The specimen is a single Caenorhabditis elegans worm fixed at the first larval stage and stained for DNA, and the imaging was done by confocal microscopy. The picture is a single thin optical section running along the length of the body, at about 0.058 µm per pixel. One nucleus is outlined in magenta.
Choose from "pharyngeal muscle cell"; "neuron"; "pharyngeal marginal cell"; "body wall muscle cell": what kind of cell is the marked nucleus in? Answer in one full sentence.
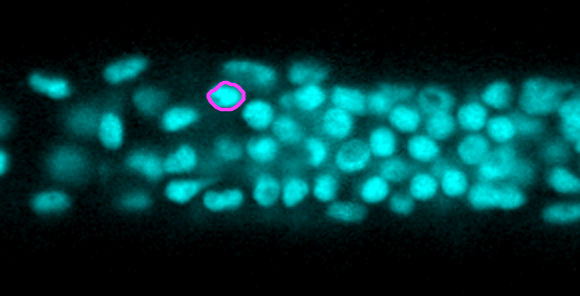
What is marked is the nucleus of a neuron.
